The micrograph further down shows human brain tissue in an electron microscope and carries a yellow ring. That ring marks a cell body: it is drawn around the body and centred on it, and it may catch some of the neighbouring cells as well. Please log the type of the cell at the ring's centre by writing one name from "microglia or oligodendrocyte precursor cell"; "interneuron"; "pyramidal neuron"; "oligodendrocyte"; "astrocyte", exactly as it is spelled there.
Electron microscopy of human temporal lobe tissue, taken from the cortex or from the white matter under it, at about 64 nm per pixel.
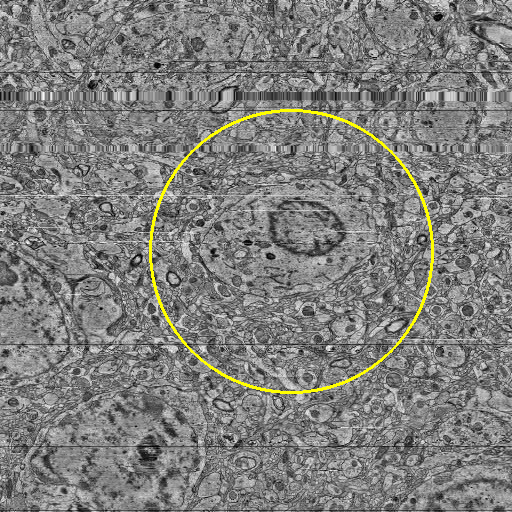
pyramidal neuron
